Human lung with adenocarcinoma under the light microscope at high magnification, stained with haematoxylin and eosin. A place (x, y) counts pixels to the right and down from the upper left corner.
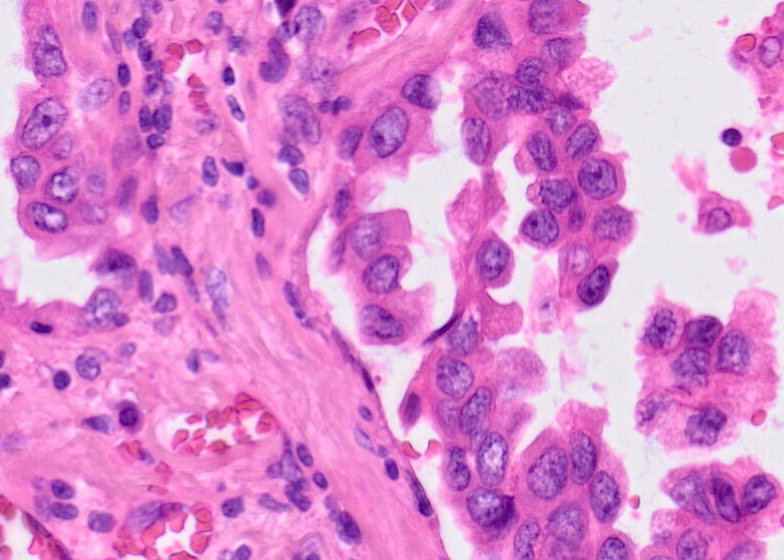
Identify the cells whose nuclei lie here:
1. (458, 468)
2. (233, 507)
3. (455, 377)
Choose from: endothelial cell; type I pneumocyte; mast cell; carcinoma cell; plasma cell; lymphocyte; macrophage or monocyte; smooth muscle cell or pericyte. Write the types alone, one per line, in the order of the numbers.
carcinoma cell
lymphocyte
carcinoma cell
